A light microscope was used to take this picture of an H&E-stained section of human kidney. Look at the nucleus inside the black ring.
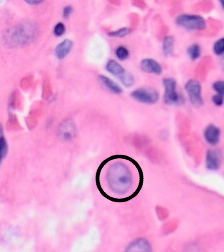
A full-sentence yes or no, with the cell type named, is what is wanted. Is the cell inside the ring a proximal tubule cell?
Yes, that the cell inside the ring is a proximal tubule cell is correct.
